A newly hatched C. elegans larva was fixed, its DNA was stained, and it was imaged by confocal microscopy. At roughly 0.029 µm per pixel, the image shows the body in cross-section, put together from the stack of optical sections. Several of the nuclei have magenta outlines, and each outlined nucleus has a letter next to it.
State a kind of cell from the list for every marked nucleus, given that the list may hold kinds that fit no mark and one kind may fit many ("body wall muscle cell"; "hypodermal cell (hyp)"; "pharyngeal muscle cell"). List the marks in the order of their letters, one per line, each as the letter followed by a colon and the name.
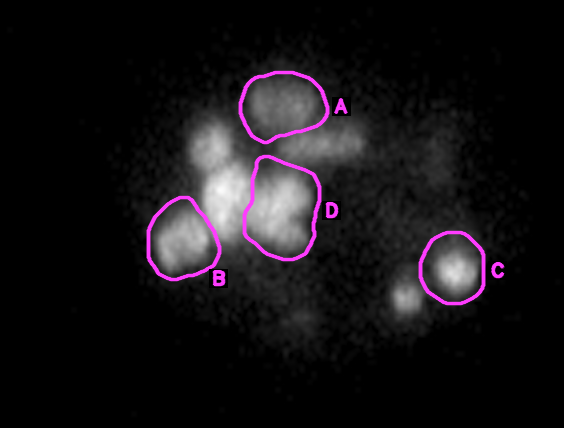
A: hypodermal cell (hyp)
B: body wall muscle cell
C: body wall muscle cell
D: pharyngeal muscle cell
